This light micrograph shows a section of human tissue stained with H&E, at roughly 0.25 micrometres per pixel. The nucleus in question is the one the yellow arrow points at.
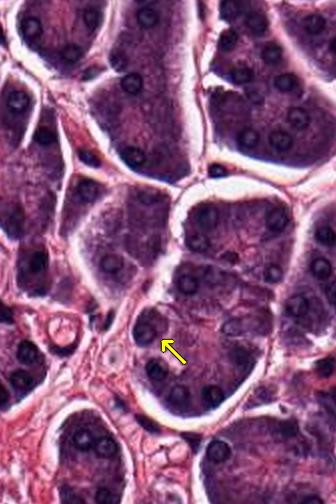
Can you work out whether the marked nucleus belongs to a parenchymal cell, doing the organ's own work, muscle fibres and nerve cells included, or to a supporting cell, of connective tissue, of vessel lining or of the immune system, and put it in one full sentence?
The parenchymal cell that owns the marked nucleus is a pancreatic acinar cell.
